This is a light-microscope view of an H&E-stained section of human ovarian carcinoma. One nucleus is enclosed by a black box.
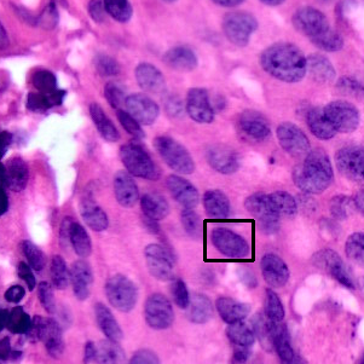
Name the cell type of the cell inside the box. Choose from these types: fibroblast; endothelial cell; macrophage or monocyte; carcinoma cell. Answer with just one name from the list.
carcinoma cell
